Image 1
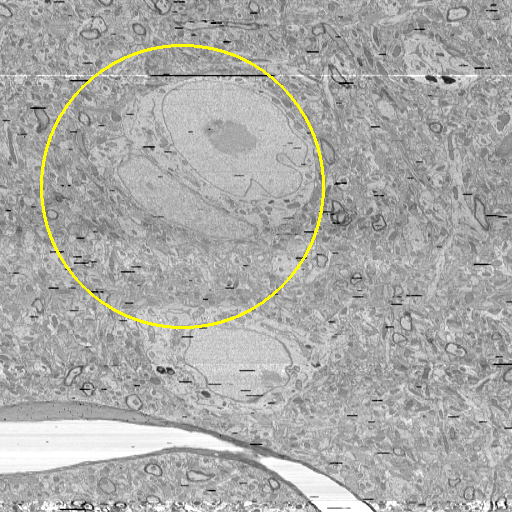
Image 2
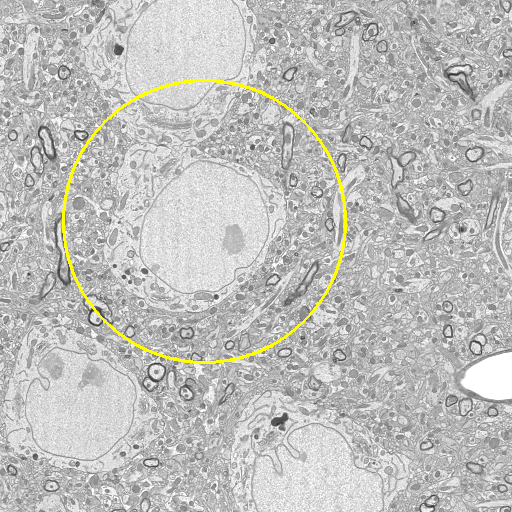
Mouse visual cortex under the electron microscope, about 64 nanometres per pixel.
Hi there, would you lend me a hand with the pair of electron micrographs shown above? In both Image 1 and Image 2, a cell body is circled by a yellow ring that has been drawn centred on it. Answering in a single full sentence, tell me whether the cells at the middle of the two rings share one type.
No, the ringed cells in Image 1 and Image 2 belong to two types.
